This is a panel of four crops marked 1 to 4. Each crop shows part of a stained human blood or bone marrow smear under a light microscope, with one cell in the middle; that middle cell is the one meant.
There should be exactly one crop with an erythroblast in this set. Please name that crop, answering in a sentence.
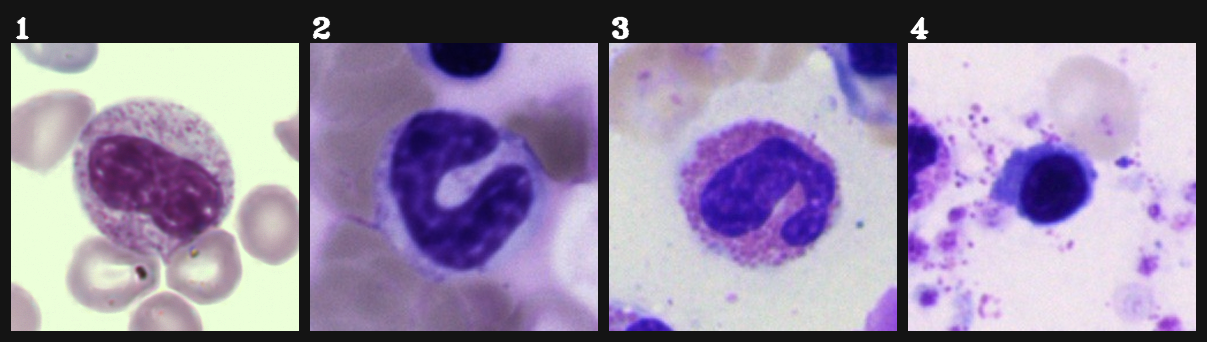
Selected crop: 4, which is the one that shows an erythroblast.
